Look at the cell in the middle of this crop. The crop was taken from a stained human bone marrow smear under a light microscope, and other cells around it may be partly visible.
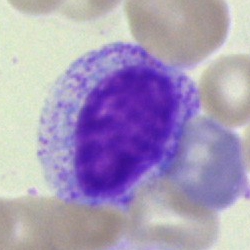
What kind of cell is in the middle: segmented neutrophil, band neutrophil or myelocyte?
myelocyte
